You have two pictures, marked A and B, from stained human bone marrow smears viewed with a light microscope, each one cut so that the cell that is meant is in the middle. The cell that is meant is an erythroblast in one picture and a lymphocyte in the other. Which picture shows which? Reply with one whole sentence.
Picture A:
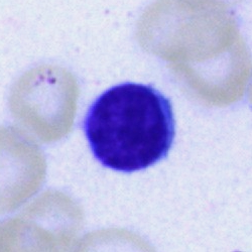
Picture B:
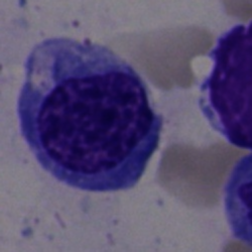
In picture A the cell is a lymphocyte; in picture B, an erythroblast.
